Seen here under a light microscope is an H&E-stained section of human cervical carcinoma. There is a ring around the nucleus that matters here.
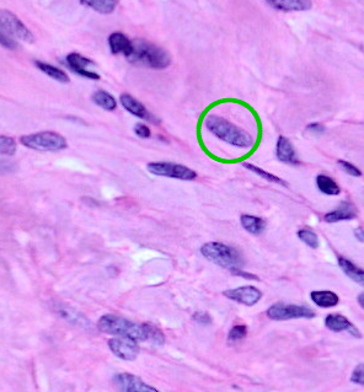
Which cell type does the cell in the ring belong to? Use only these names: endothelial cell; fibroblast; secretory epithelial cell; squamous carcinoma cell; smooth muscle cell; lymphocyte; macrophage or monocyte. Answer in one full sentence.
Typologically, the cell in the ring is a fibroblast in this section.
